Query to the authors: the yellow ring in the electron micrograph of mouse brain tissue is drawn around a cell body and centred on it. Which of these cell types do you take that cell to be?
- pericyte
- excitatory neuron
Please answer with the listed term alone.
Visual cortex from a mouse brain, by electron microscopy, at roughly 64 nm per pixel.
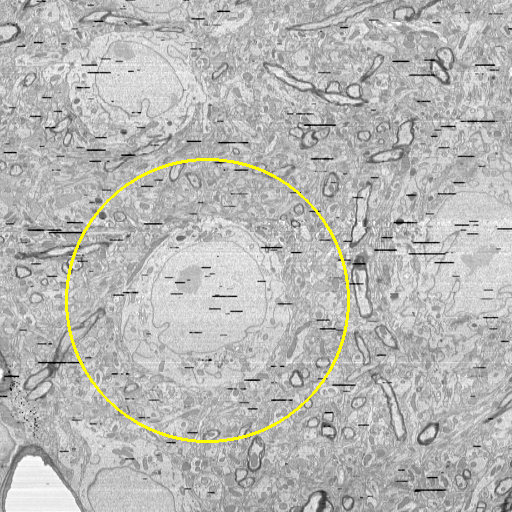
excitatory neuron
